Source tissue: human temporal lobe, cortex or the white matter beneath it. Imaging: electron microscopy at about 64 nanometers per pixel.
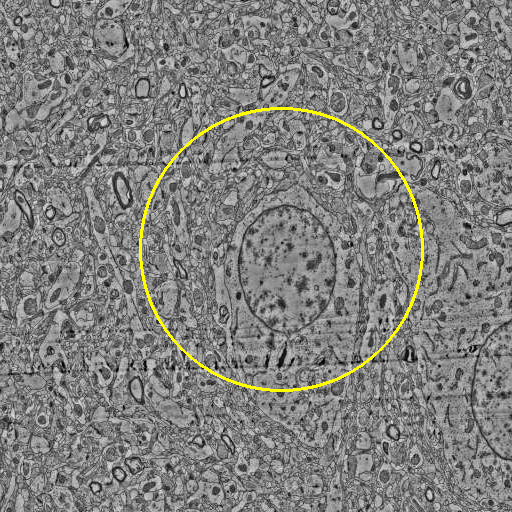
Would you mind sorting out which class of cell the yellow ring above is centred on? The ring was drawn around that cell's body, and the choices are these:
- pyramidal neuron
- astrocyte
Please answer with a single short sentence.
This is the cell body of a pyramidal neuron.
